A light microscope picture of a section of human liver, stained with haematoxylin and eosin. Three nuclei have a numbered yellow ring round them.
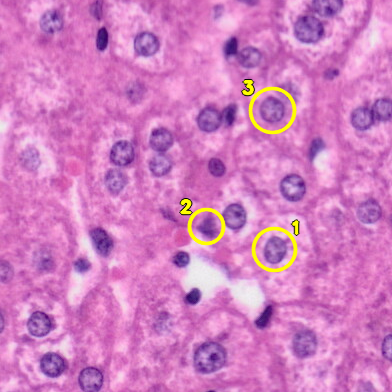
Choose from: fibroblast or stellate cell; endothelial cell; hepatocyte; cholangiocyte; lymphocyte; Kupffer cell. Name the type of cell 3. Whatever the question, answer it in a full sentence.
The cell numbered 3 represents a hepatocyte.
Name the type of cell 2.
The cell assigned the number 2 is a fibroblast or stellate cell.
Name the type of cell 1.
What the number 1 marks in this field is a hepatocyte.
